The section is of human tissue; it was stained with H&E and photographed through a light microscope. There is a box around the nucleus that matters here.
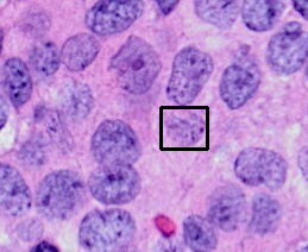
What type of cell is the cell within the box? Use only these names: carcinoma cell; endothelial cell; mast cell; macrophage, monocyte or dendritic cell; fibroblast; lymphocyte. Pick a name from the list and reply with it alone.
carcinoma cell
